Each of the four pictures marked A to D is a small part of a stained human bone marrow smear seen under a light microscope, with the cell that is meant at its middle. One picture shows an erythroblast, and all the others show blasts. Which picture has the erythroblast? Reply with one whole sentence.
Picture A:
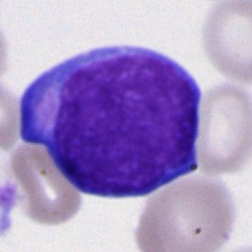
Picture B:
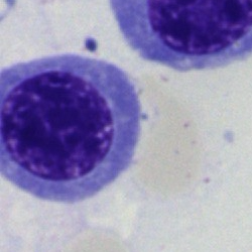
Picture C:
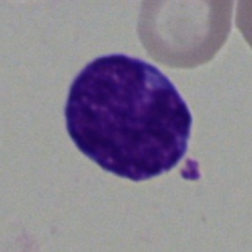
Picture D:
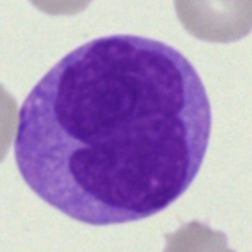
The picture with the erythroblast is B.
